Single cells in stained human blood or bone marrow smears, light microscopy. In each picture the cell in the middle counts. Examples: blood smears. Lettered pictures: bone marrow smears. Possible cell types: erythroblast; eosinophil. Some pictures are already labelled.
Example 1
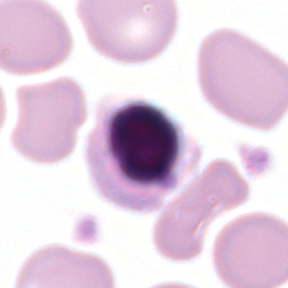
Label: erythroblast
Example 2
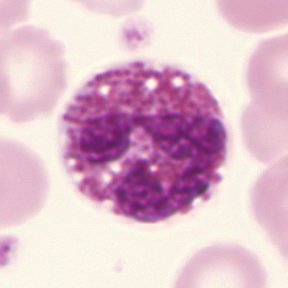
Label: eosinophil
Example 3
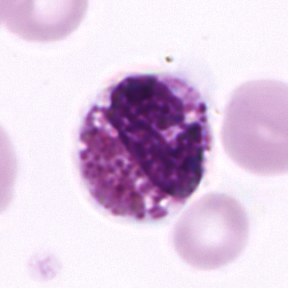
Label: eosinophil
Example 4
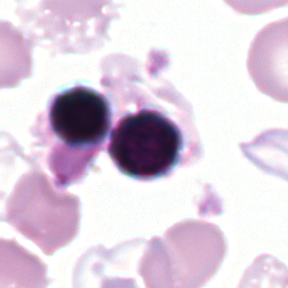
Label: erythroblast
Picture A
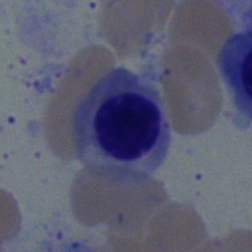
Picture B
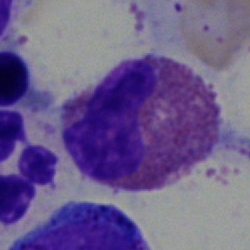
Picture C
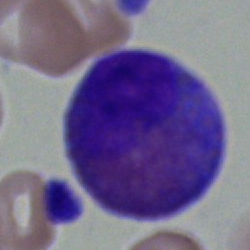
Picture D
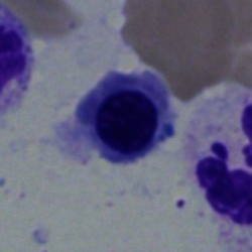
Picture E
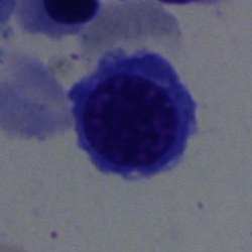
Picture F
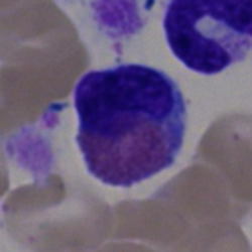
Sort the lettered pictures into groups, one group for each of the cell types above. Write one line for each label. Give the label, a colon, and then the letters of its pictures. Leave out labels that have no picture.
erythroblast: A, D, E
eosinophil: B, C, F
